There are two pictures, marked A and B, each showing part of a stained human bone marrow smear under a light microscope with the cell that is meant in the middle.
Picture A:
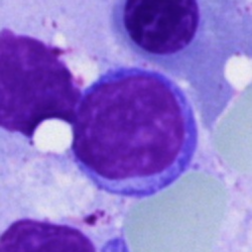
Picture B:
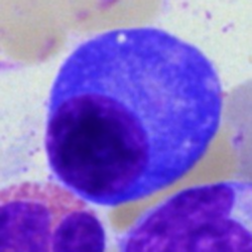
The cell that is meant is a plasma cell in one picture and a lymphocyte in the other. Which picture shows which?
A: lymphocyte
B: plasma cell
